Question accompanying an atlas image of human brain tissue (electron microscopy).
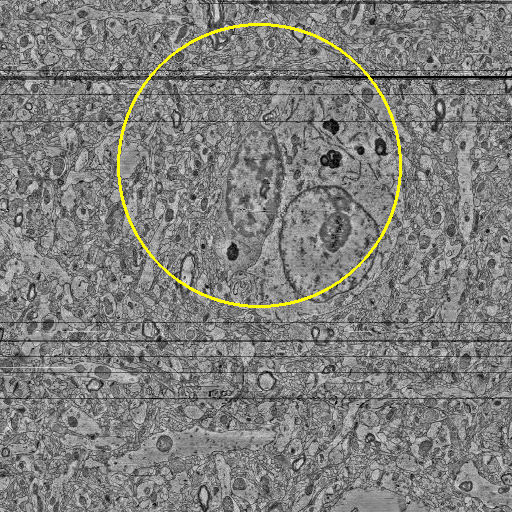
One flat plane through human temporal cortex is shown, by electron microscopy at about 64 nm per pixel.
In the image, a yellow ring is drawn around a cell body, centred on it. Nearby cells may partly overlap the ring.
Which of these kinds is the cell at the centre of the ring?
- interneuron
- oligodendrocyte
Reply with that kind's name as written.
oligodendrocyte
